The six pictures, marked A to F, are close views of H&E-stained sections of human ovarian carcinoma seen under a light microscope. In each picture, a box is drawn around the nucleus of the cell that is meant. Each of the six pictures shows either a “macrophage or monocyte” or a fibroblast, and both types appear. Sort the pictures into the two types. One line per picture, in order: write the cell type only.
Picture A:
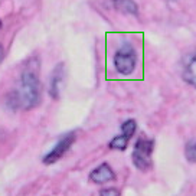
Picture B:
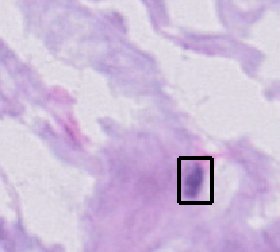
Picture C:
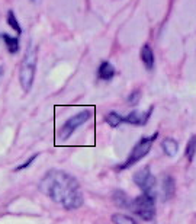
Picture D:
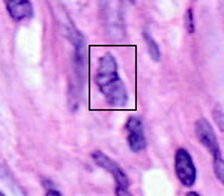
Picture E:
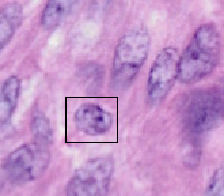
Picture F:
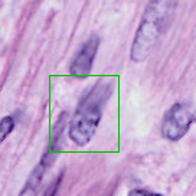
macrophage or monocyte
fibroblast
fibroblast
macrophage or monocyte
macrophage or monocyte
macrophage or monocyte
